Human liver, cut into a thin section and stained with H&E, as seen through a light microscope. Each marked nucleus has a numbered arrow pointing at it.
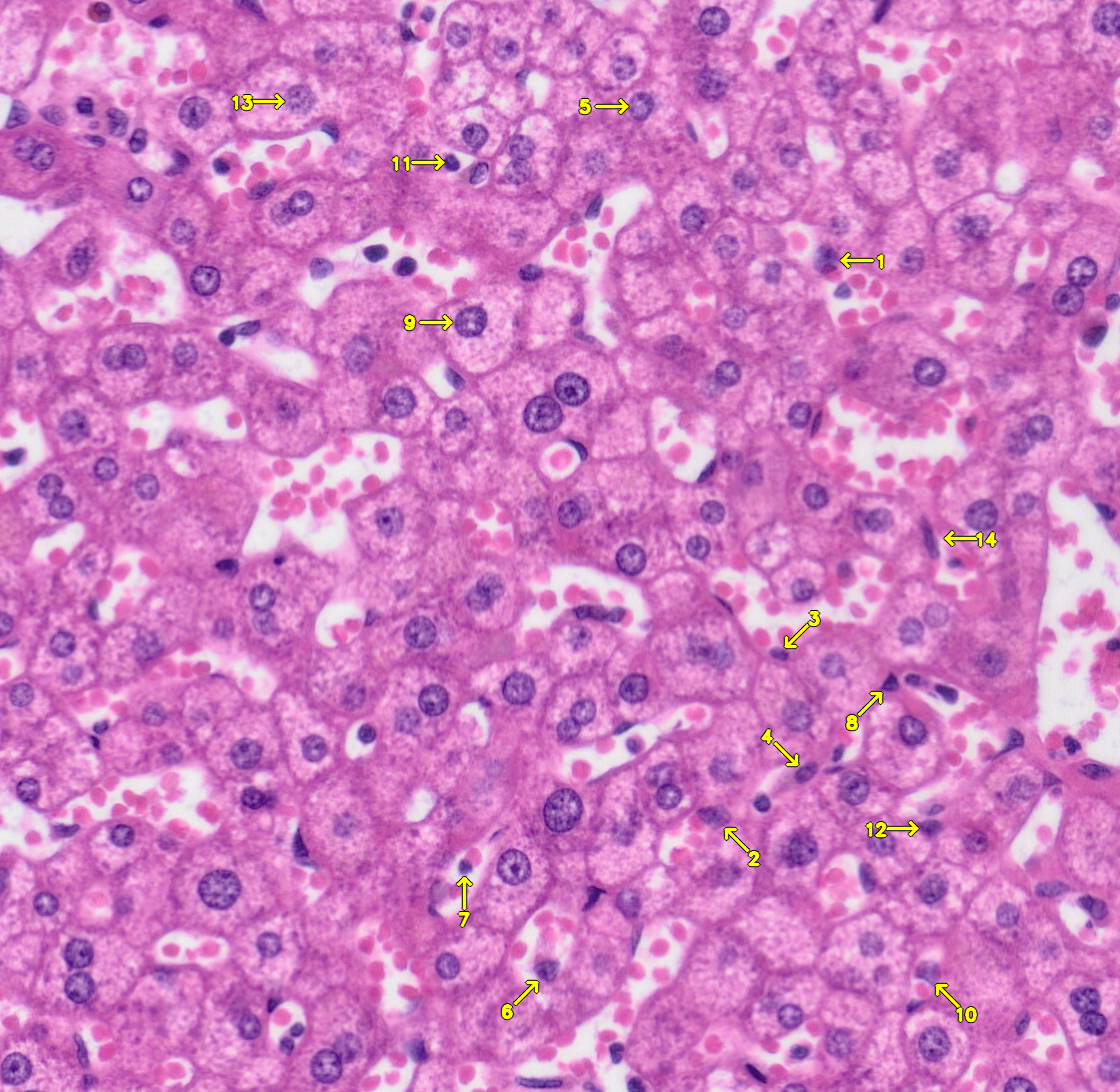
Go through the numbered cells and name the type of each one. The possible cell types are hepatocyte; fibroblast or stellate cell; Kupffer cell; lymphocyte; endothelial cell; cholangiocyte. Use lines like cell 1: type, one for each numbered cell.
cell 1: endothelial cell
cell 2: endothelial cell
cell 3: fibroblast or stellate cell
cell 4: Kupffer cell
cell 5: hepatocyte
cell 6: Kupffer cell
cell 7: lymphocyte
cell 8: fibroblast or stellate cell
cell 9: hepatocyte
cell 10: endothelial cell
cell 11: lymphocyte
cell 12: fibroblast or stellate cell
cell 13: hepatocyte
cell 14: Kupffer cell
